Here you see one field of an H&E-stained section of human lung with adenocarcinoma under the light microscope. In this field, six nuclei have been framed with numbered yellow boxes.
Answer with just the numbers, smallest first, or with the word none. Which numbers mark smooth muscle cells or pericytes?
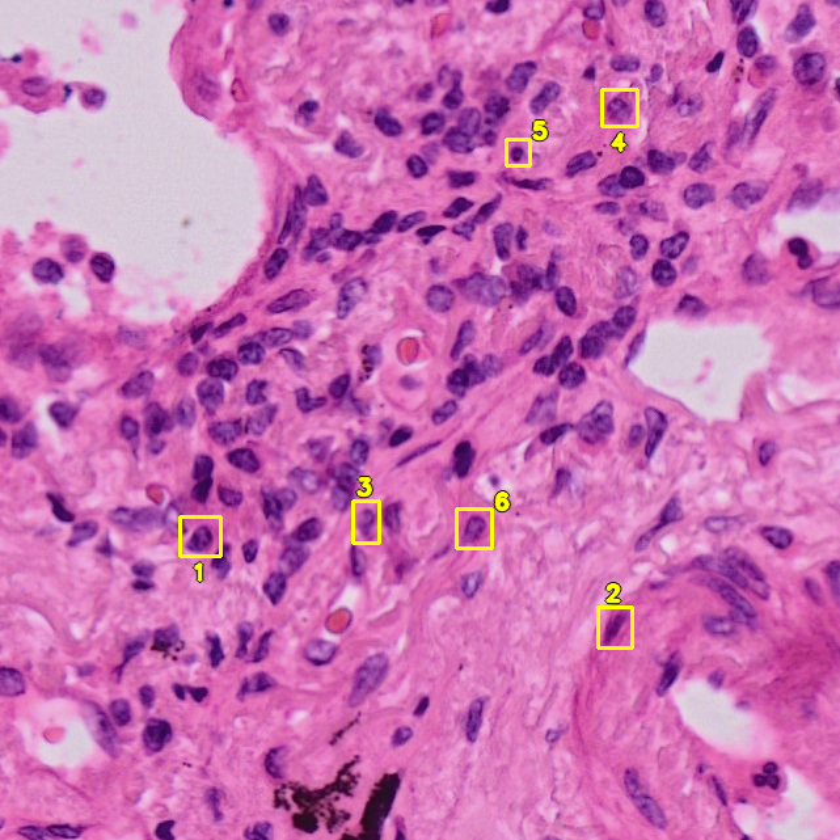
2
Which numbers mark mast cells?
4, 6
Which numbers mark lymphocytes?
1, 5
